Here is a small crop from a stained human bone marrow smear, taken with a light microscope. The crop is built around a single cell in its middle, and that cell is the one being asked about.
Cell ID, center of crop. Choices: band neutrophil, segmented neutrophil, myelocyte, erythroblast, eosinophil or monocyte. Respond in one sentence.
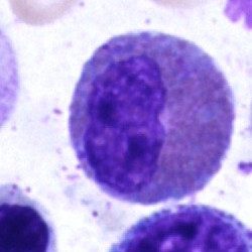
In the center of this field lies an eosinophil.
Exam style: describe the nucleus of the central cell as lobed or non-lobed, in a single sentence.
Have a look at the nucleus, which is one compact mass, round, oval or kidney-shaped.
